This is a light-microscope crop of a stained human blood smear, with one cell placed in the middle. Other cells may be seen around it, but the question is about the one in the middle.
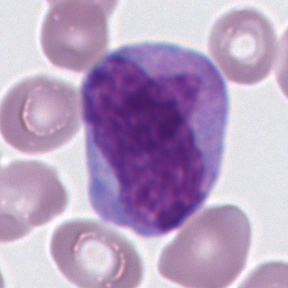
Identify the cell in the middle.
atypical promyelocyte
